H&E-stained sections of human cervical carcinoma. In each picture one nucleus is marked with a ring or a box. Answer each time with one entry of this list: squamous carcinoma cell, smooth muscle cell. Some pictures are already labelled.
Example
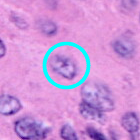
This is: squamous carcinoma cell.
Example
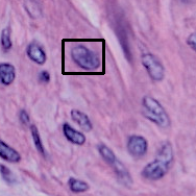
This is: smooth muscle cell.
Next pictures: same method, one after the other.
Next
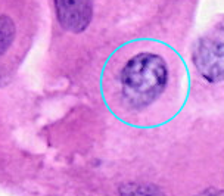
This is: squamous carcinoma cell.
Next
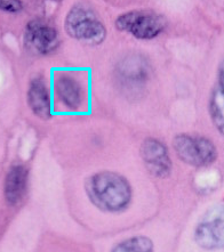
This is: squamous carcinoma cell.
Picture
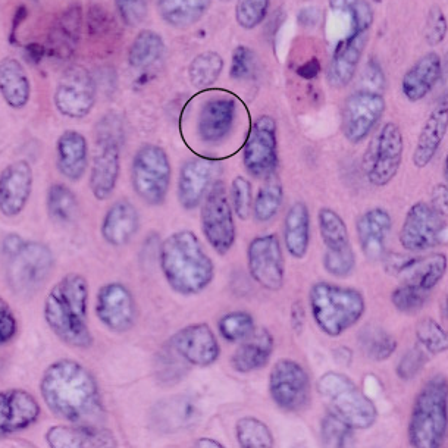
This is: squamous carcinoma cell.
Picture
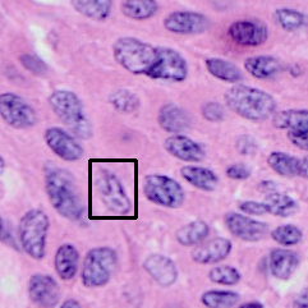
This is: squamous carcinoma cell.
